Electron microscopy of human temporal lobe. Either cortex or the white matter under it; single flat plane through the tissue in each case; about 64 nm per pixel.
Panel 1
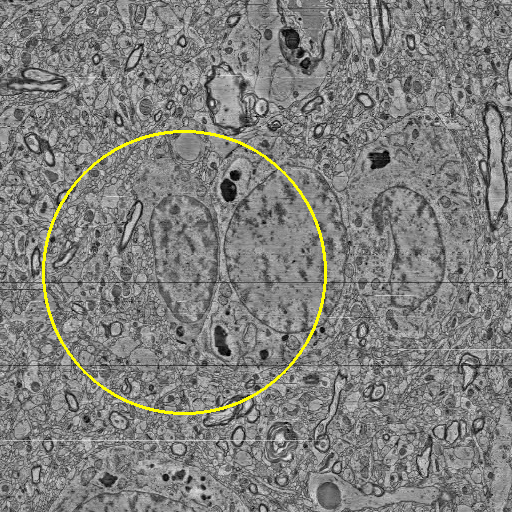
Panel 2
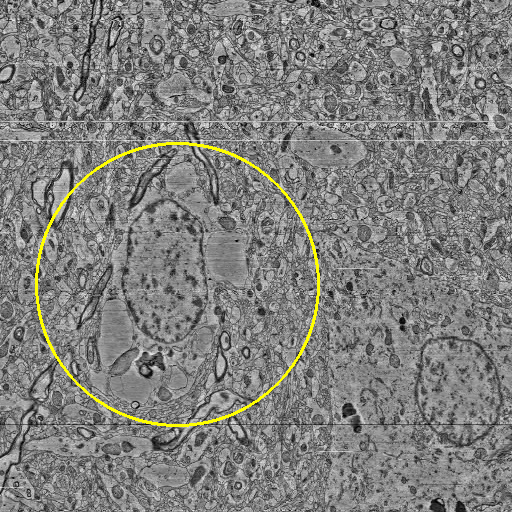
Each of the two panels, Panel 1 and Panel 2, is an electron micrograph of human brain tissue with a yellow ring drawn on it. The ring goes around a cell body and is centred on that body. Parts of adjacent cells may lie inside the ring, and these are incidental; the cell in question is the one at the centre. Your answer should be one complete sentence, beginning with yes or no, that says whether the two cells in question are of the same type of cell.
No, the two cells are of two types.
